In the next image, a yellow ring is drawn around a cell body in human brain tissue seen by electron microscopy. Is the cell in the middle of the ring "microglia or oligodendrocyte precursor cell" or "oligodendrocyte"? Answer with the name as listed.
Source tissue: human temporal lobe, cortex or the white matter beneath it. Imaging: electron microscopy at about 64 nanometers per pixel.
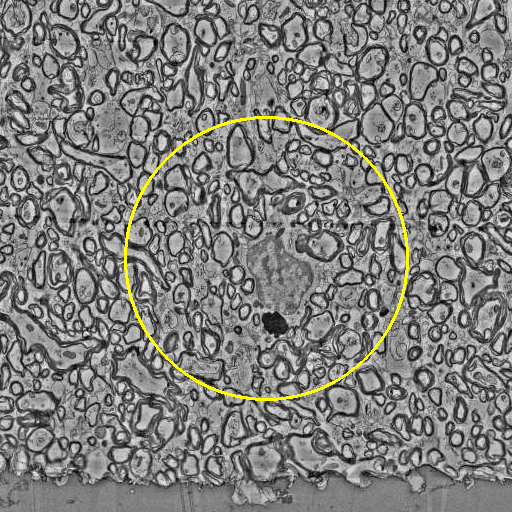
oligodendrocyte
